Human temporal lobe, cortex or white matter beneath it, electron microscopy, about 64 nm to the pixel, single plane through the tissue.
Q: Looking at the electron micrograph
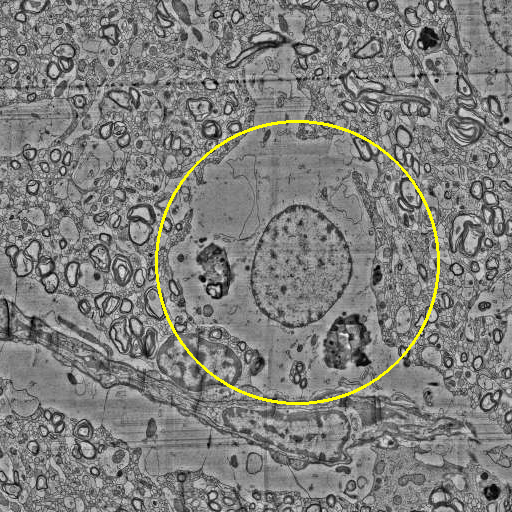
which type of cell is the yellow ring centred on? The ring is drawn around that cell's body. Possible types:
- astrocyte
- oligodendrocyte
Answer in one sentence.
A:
The yellow ring is centred on an astrocyte.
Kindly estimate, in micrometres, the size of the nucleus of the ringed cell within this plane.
The nucleus appears roughly 8 by 6 micrometres in this plane.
